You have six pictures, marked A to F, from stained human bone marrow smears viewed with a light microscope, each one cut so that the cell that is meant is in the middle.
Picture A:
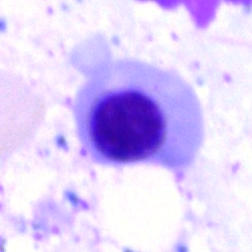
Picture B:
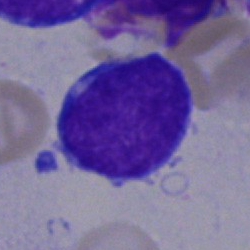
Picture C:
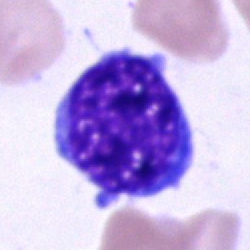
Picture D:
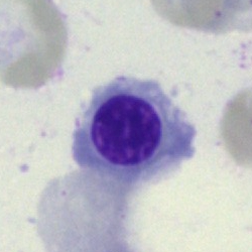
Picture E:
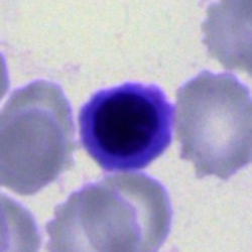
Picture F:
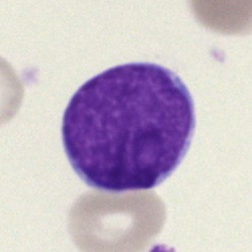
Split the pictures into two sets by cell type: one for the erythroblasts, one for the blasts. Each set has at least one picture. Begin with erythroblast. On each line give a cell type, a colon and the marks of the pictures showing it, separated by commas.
erythroblast: A, D, E
blast: B, C, F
